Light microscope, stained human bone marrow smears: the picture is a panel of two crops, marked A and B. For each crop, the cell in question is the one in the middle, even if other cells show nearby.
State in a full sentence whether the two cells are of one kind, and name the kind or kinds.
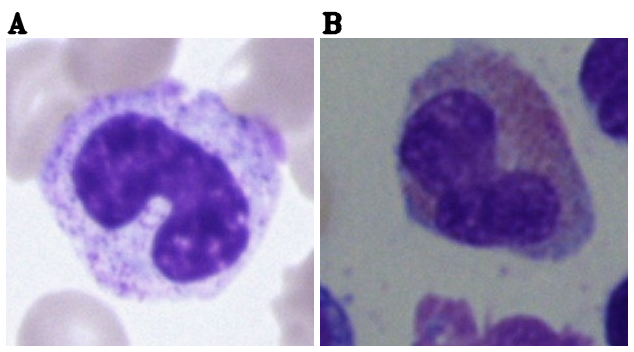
No, crop A represents a band neutrophil, and crop B represents an eosinophil.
